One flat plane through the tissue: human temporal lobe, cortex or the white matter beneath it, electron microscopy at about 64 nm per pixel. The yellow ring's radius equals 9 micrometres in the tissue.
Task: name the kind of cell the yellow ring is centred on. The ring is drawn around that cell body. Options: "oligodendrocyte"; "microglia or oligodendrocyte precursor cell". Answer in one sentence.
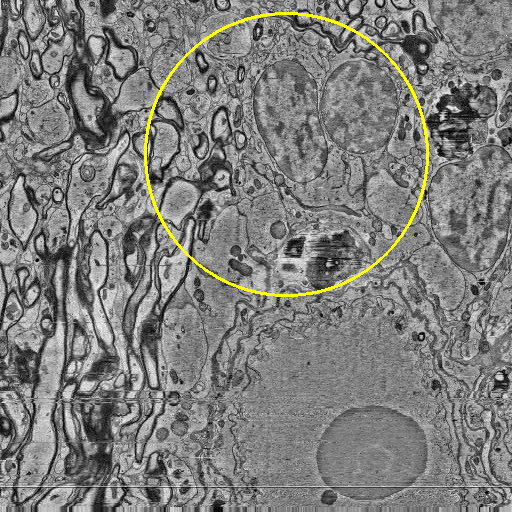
This cell body belongs to a microglial cell or oligodendrocyte precursor cell.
